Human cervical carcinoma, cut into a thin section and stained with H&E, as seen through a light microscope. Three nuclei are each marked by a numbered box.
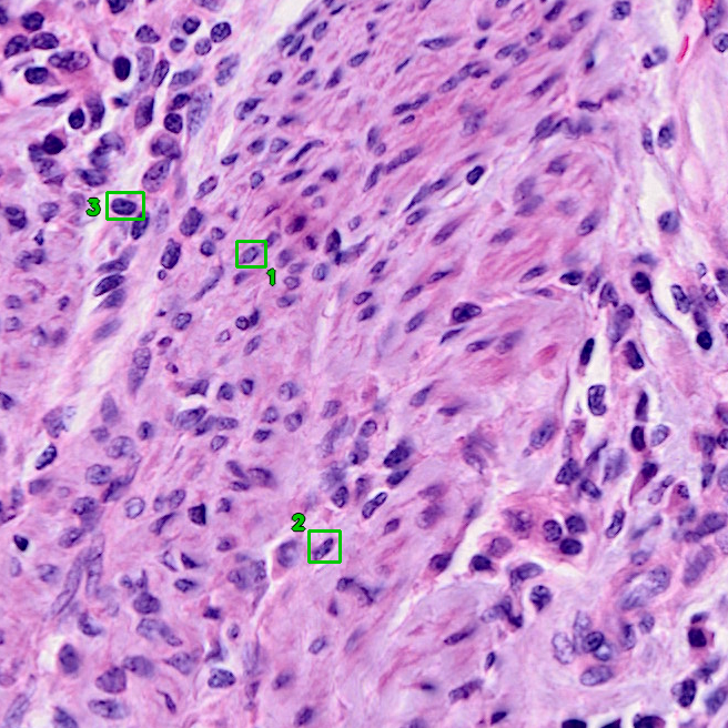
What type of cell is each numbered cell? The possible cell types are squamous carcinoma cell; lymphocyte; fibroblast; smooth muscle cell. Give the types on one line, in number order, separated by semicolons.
smooth muscle cell; lymphocyte; lymphocyte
